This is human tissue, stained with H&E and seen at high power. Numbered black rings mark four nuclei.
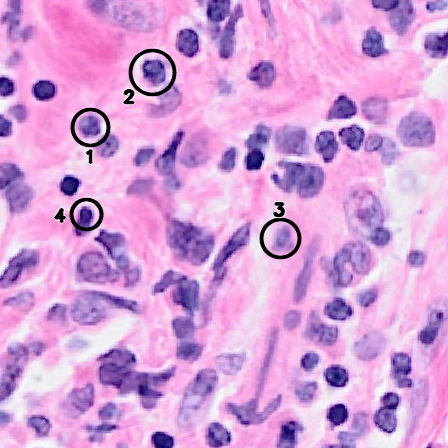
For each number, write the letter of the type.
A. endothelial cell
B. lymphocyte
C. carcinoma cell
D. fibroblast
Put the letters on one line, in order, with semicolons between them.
B; B; A; B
